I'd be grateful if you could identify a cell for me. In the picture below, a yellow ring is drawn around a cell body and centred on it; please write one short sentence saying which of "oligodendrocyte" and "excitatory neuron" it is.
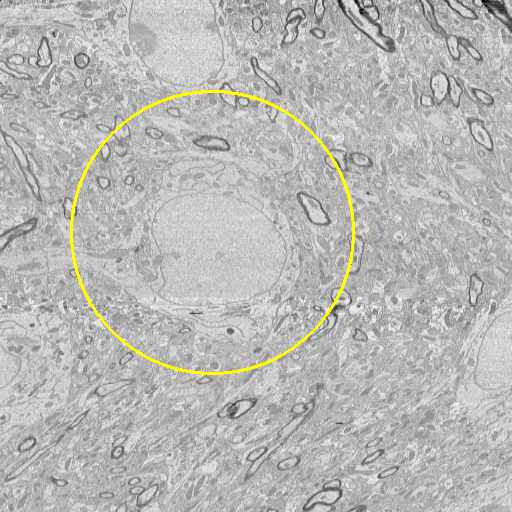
The cell under the ring's centre is an excitatory neuron.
